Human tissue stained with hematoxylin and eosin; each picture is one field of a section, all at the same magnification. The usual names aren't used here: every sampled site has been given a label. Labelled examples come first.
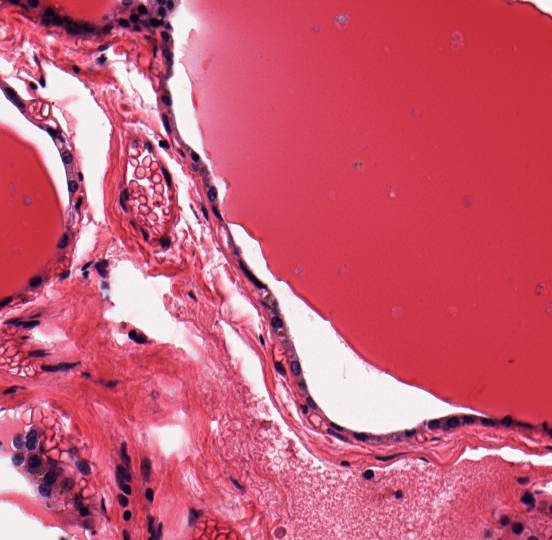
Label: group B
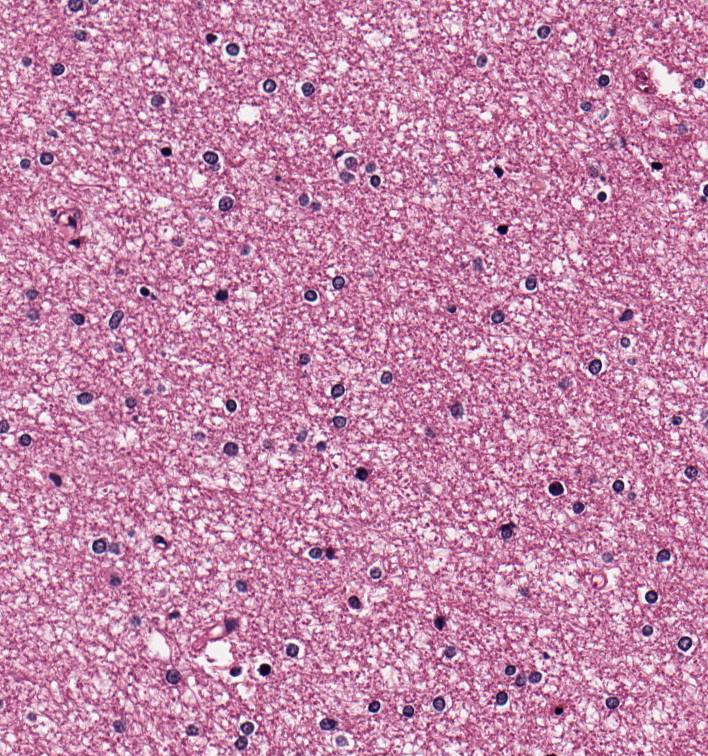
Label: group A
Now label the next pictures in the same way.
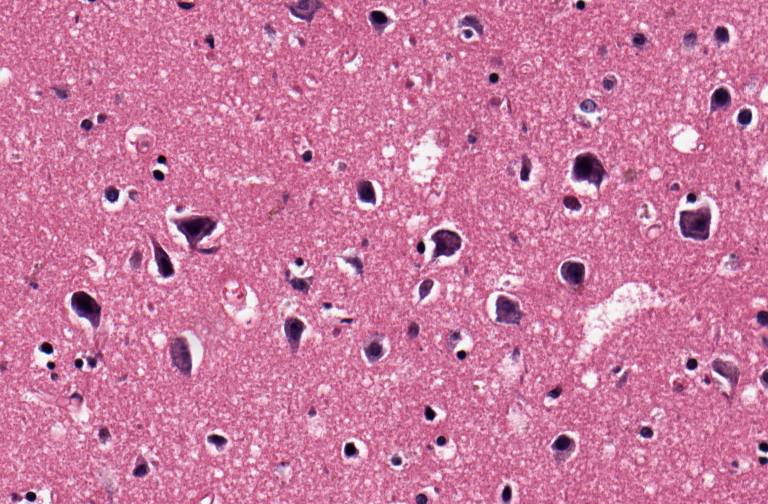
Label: group A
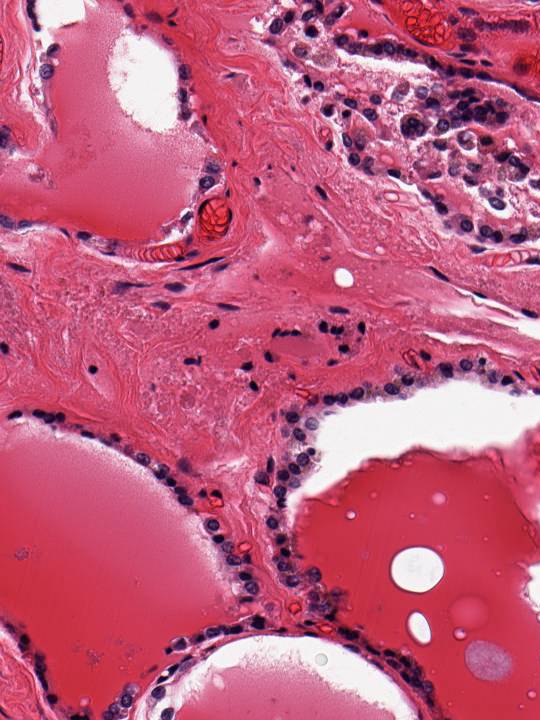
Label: group B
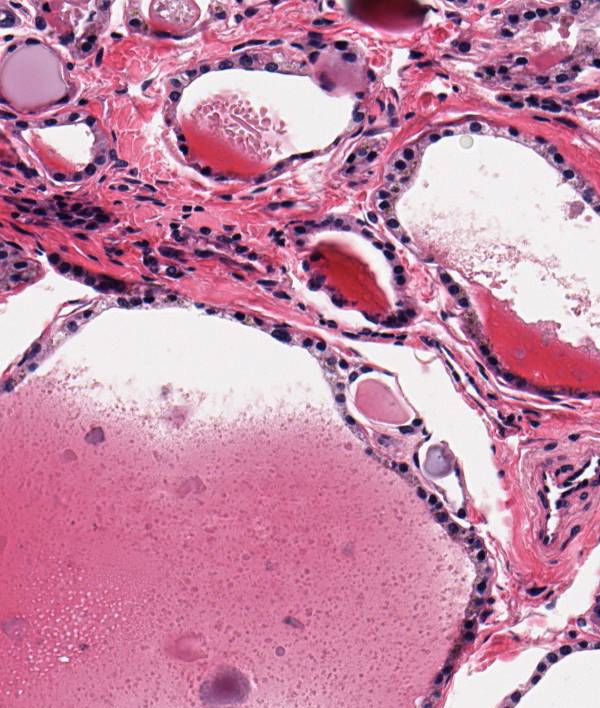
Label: group B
